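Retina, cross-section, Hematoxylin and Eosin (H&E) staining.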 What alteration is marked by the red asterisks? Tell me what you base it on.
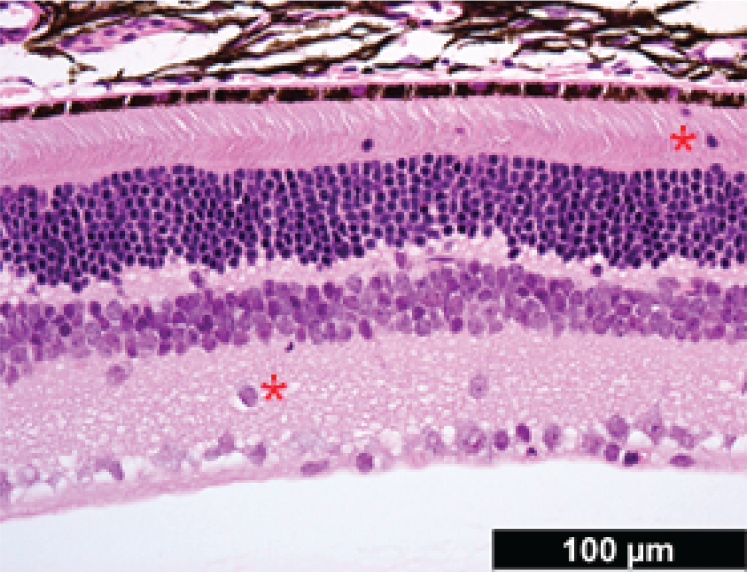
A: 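One asterisk sits in the pale pink photoreceptor segment band, away from the nuclear rows. One asterisk sits beside a nucleus inside the pale plexiform band below the inner nuclear rows. So: mislocalized cells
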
